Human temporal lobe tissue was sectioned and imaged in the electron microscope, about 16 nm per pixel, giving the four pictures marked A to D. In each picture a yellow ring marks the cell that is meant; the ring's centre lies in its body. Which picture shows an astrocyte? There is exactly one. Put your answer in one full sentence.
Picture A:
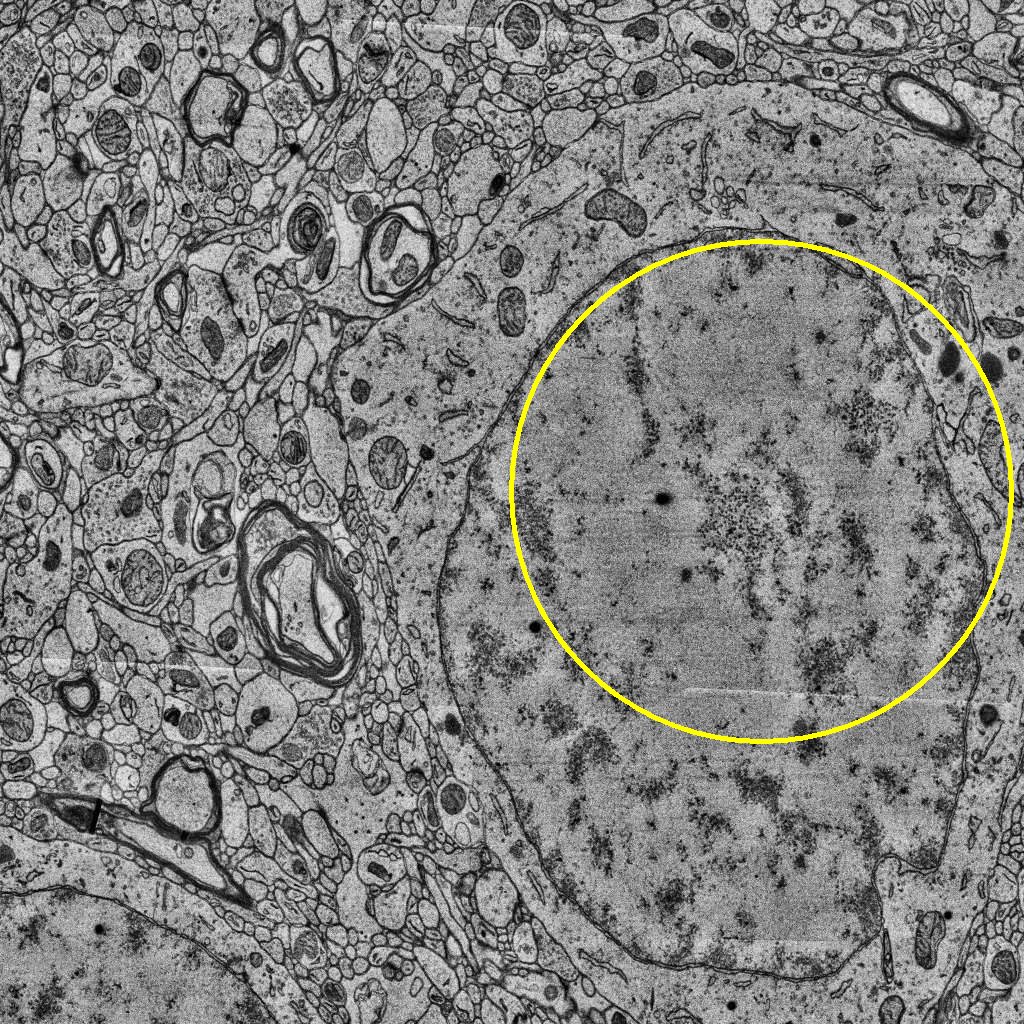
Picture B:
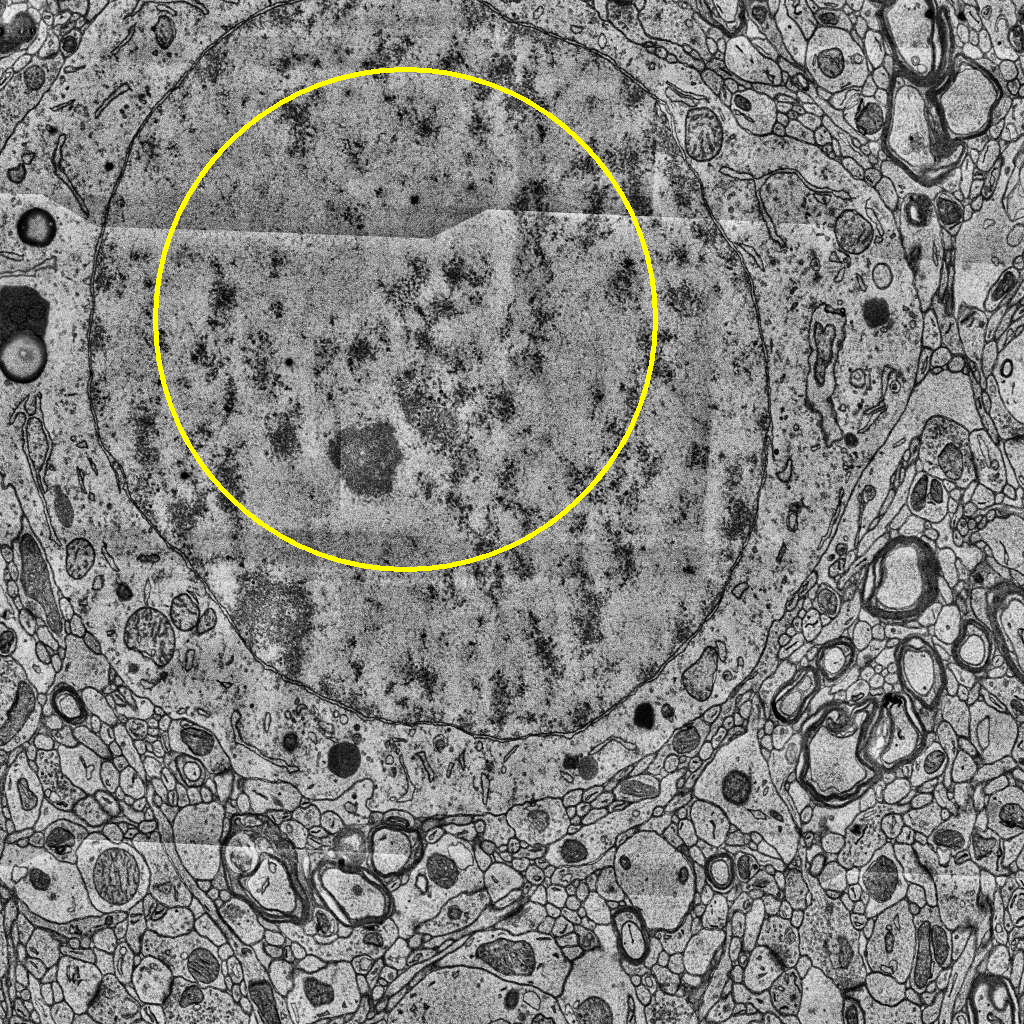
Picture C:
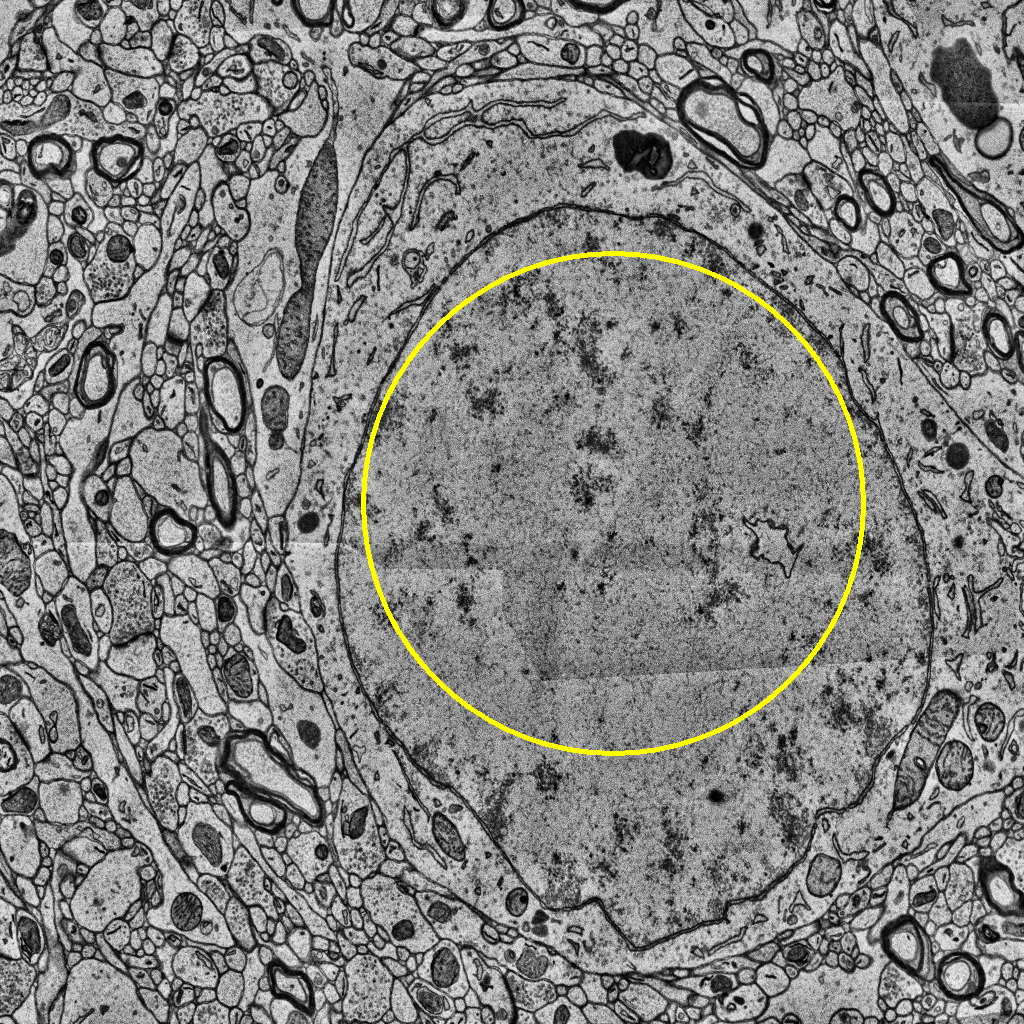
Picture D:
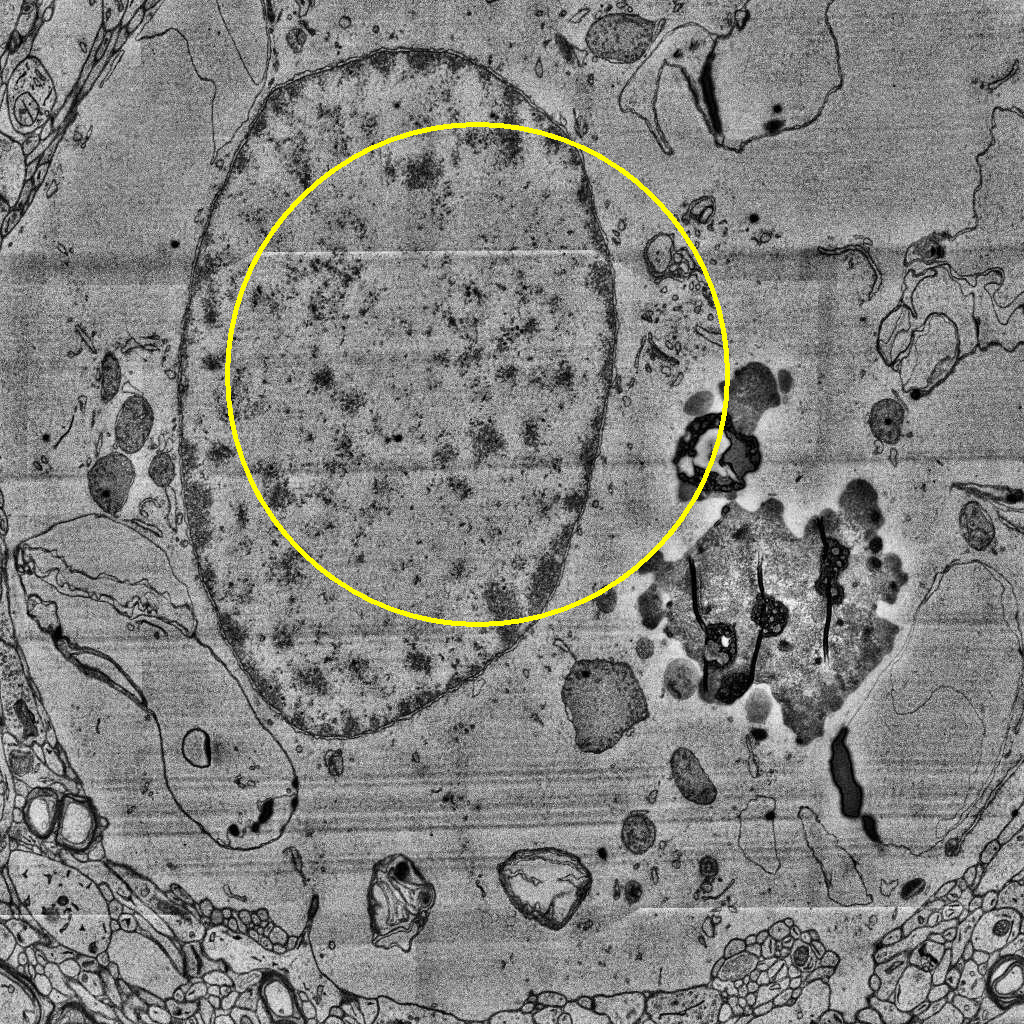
The picture with the astrocyte is D.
